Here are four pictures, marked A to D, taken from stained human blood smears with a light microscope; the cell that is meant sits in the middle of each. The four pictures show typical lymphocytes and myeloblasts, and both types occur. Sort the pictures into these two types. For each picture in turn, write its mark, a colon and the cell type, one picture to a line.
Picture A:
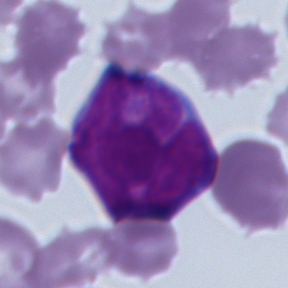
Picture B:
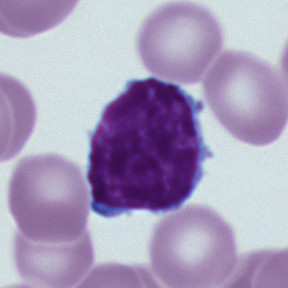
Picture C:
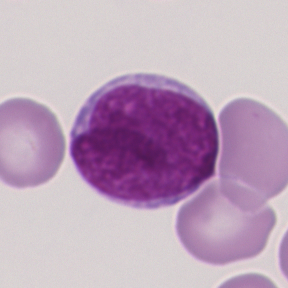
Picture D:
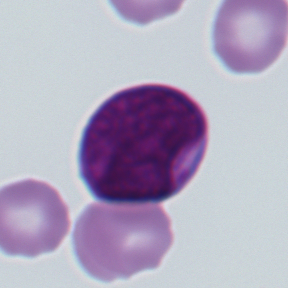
A: myeloblast
B: typical lymphocyte
C: myeloblast
D: myeloblast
